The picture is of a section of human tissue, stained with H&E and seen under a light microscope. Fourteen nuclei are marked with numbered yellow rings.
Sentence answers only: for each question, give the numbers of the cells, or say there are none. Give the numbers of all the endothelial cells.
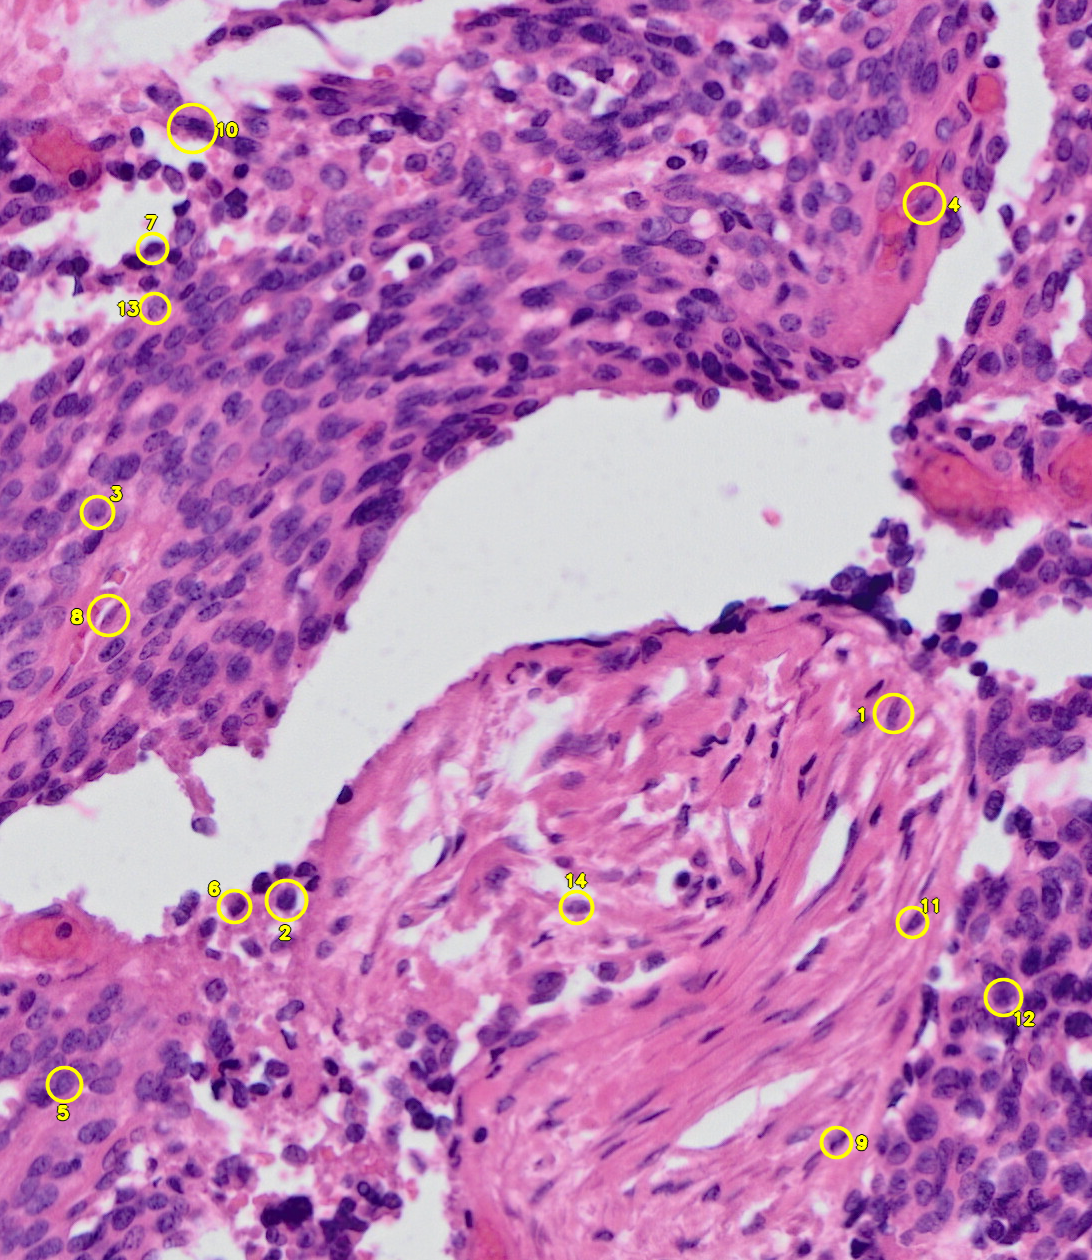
The cells assigned the numbers 4 and 8 are endothelial cells.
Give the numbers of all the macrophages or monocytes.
The cells marked 3, 6 and 13 in the section are macrophages or monocytes.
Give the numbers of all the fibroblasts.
The cells numbered 1, 9, 11 and 14 are identified as fibroblasts.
